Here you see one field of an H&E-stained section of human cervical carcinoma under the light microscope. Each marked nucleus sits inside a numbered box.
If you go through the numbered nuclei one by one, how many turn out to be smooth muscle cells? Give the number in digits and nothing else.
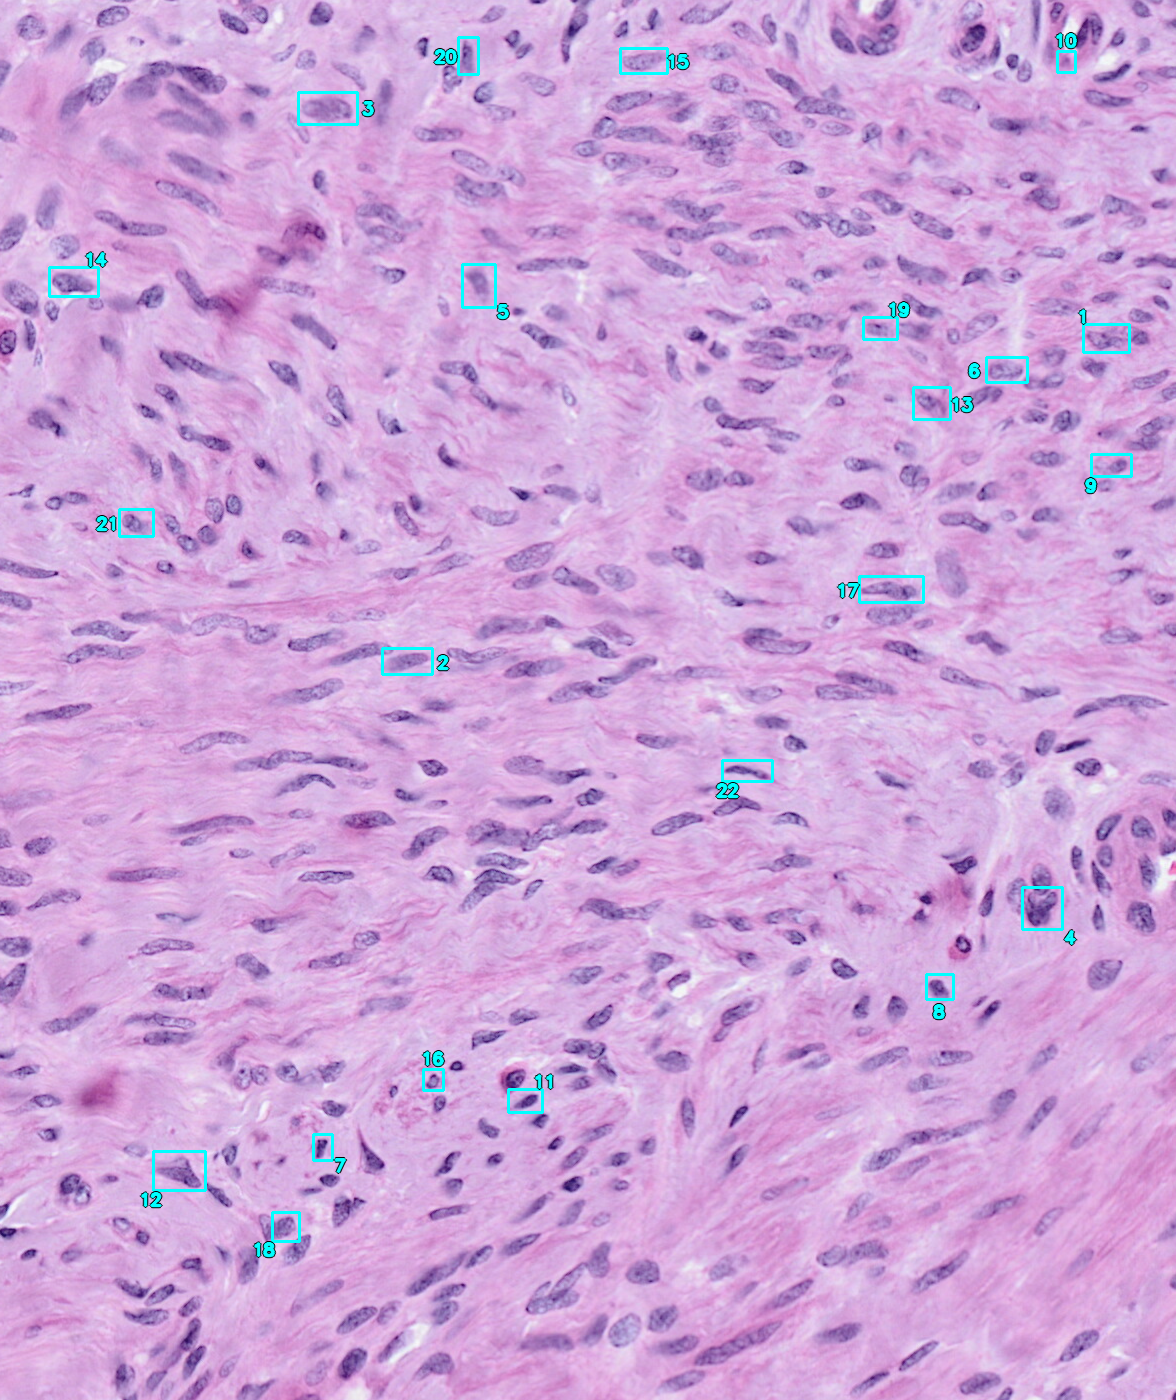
9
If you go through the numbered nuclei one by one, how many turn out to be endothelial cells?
2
